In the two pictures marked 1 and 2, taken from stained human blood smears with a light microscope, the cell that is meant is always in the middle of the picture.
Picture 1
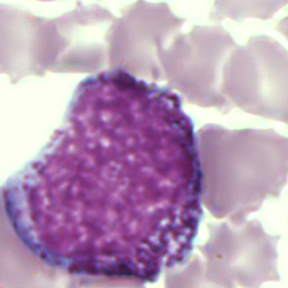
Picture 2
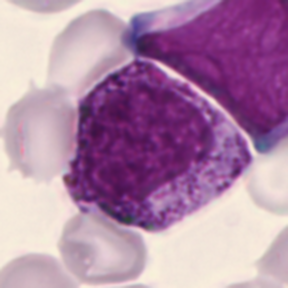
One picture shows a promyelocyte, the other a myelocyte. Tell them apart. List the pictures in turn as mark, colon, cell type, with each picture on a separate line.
1: promyelocyte
2: myelocyte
